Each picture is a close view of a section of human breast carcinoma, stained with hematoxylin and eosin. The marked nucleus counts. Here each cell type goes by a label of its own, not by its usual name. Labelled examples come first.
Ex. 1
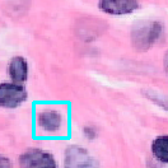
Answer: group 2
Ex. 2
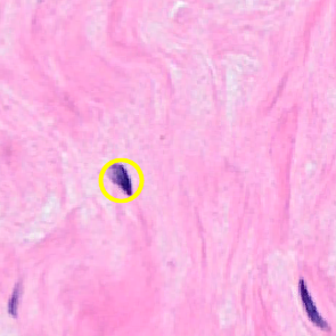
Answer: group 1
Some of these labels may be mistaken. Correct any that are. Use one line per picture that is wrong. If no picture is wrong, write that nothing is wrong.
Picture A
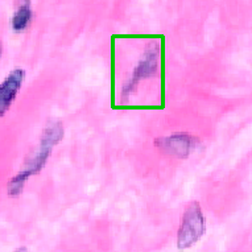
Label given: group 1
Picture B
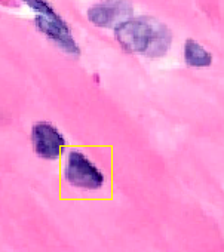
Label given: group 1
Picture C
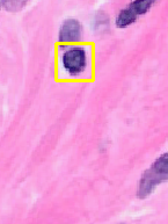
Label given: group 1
B: not group 1 but group 2
C: not group 1 but group 2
